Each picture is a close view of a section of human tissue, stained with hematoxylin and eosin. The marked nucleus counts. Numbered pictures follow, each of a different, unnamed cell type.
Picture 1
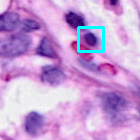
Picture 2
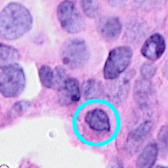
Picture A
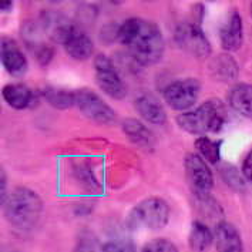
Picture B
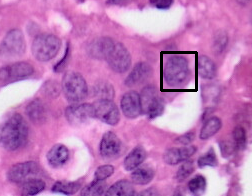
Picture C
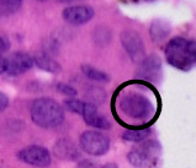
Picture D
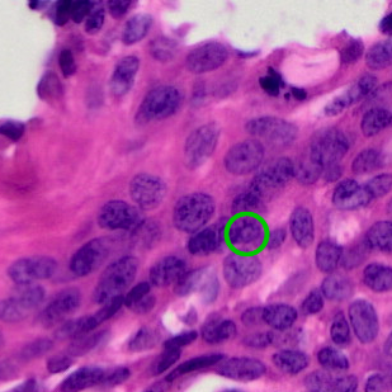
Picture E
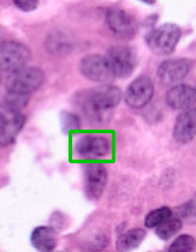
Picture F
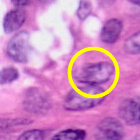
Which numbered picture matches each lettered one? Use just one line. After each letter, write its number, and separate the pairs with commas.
A 1, B 2, C 2, D 2, E 2, F 1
